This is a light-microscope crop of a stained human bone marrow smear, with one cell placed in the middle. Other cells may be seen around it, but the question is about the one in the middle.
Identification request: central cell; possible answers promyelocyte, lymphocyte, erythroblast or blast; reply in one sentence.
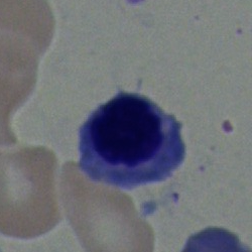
The central cell shown in this smear crop is an erythroblast.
